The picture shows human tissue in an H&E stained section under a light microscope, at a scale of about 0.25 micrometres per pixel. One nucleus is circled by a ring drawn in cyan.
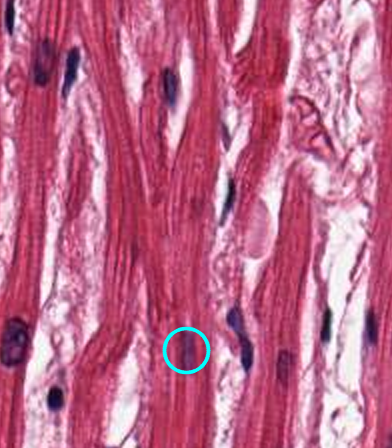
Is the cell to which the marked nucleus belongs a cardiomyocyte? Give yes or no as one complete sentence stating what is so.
Yes, the marked nucleus, as shown, belongs to a cardiomyocyte.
